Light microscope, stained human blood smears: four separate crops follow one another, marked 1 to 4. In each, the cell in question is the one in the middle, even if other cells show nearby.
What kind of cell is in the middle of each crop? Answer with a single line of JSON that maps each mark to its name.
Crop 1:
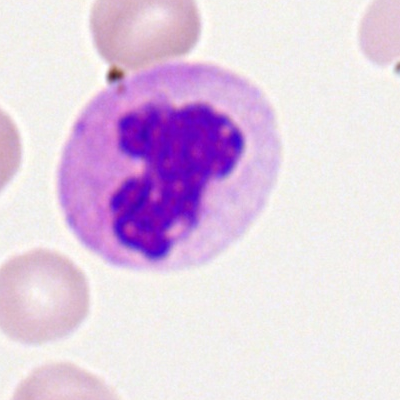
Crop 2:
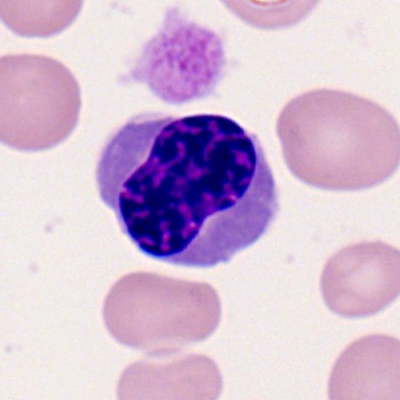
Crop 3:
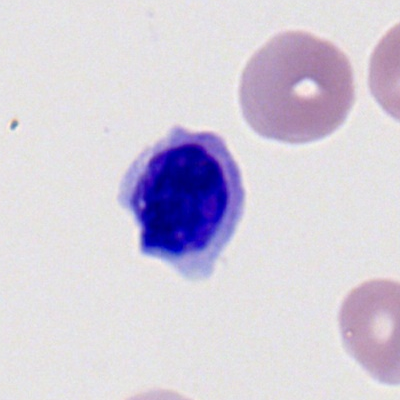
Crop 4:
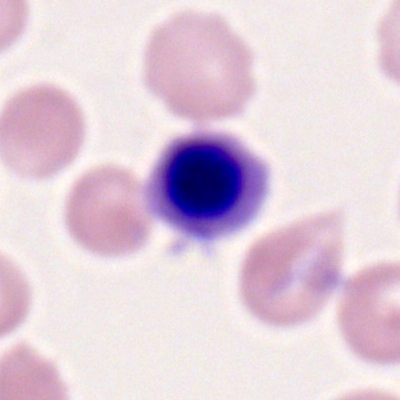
{"1": "segmented neutrophil", "2": "erythroblast", "3": "erythroblast", "4": "erythroblast"}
